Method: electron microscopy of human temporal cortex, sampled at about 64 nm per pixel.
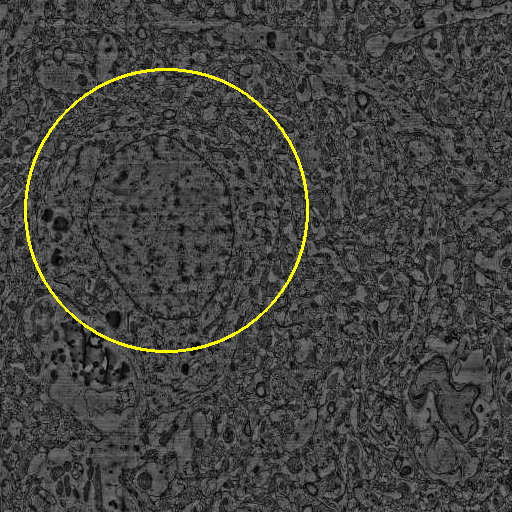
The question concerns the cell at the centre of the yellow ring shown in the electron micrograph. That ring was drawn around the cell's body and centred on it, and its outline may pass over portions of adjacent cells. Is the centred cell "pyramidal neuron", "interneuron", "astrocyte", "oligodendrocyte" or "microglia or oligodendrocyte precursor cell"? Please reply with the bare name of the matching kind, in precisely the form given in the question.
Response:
pyramidal neuron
